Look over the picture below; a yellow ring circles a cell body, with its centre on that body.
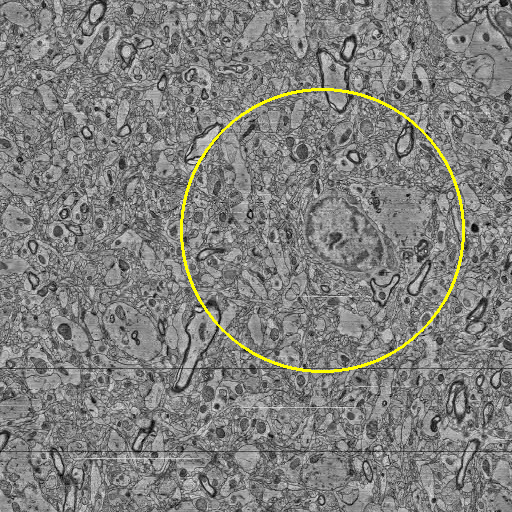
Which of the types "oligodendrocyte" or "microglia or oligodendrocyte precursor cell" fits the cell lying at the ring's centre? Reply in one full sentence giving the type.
The picture shows an oligodendrocyte at the centre of the yellow ring.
